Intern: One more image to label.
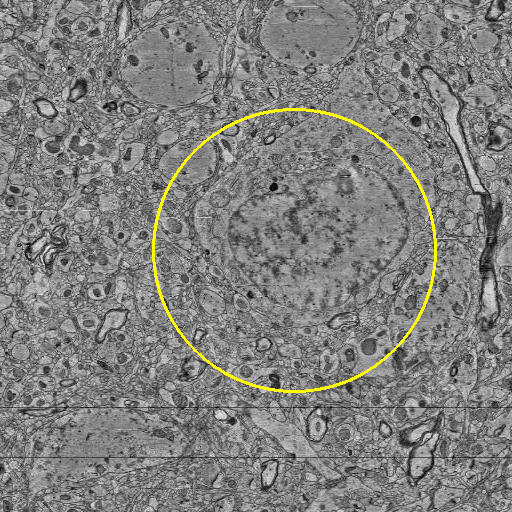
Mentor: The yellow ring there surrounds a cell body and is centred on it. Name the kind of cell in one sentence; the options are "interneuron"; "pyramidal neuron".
The ring marks the cell body of an interneuron.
